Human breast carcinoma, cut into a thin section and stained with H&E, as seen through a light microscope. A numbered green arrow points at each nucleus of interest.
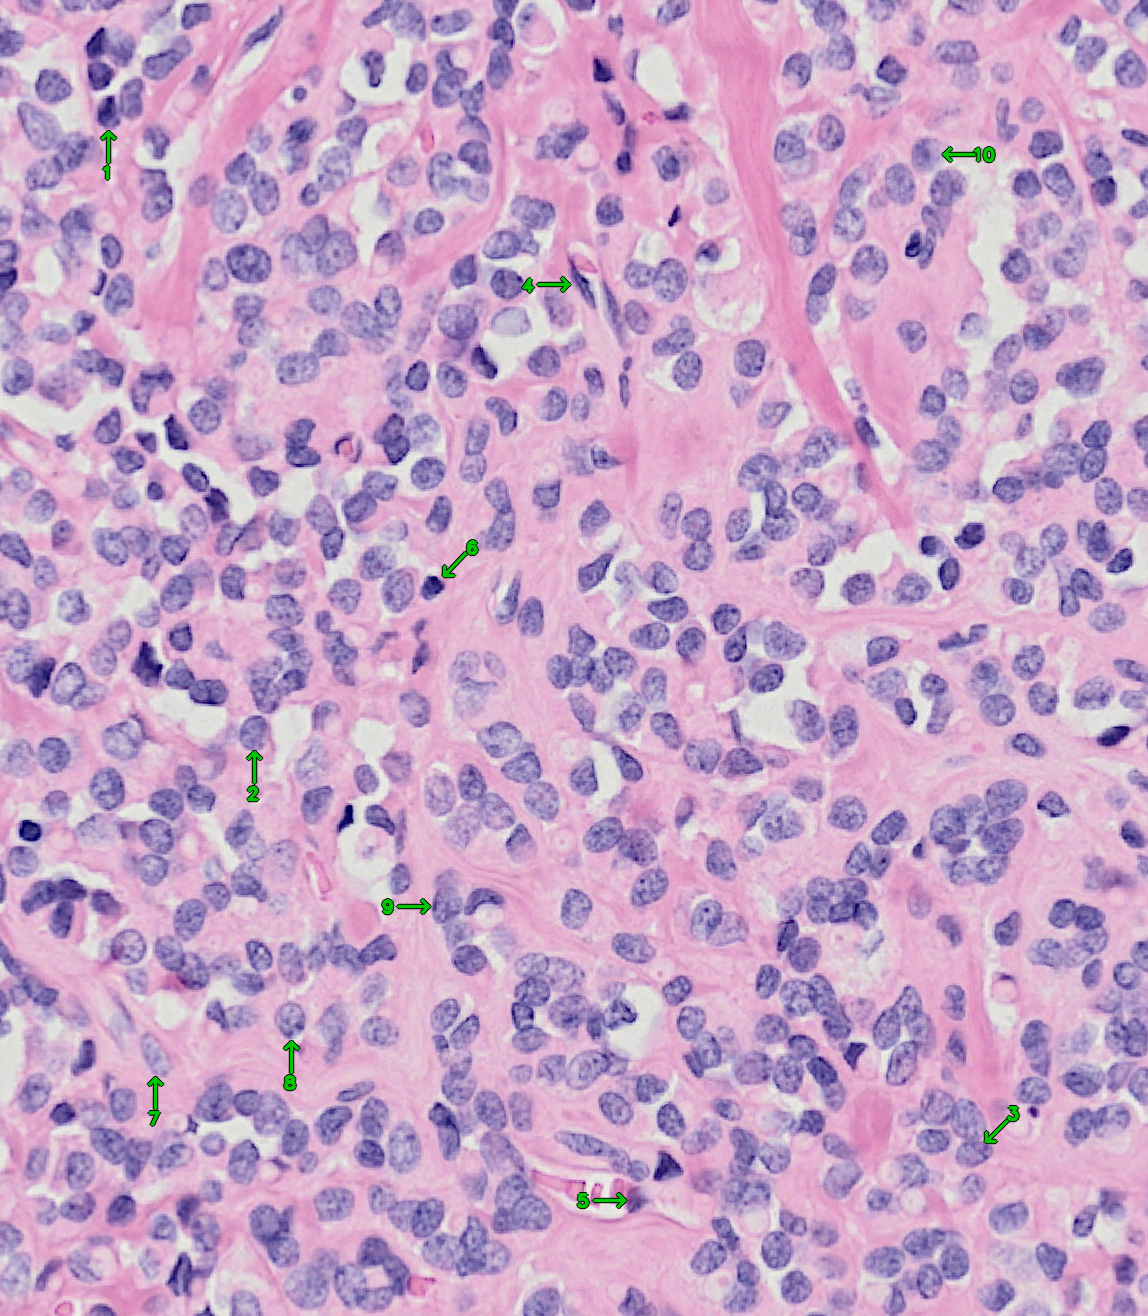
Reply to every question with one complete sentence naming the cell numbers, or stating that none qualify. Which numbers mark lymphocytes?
Cell 6 represents a lymphocyte, and no other numbered cell does.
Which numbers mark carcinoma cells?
On this slide, the cells numbered 1, 2, 3, 8, 9 and 10 are carcinoma cells.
